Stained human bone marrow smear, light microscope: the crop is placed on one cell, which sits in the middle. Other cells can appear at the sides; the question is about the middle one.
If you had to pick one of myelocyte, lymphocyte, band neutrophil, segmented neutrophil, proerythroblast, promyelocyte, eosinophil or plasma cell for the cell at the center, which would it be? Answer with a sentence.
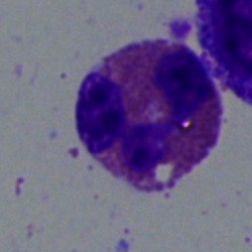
The central cell, amid any neighbouring cells, is an eosinophil.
